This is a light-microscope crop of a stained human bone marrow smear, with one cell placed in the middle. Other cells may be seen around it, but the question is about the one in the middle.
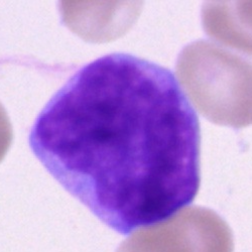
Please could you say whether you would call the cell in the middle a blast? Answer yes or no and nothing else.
yes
